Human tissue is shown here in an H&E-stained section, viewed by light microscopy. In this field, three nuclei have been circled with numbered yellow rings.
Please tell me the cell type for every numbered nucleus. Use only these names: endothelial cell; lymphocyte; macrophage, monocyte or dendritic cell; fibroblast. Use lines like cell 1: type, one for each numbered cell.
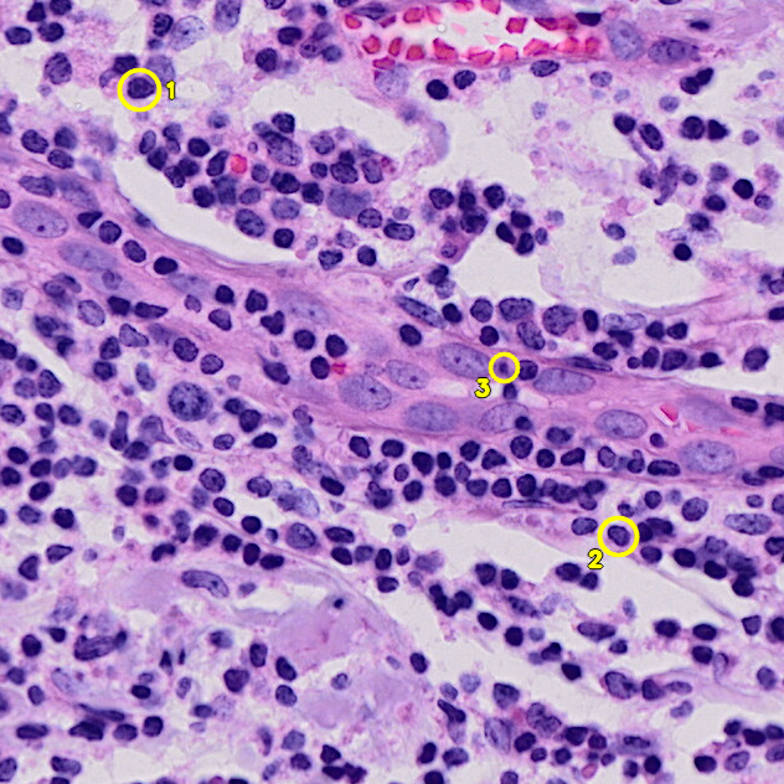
cell 1: lymphocyte
cell 2: lymphocyte
cell 3: endothelial cell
